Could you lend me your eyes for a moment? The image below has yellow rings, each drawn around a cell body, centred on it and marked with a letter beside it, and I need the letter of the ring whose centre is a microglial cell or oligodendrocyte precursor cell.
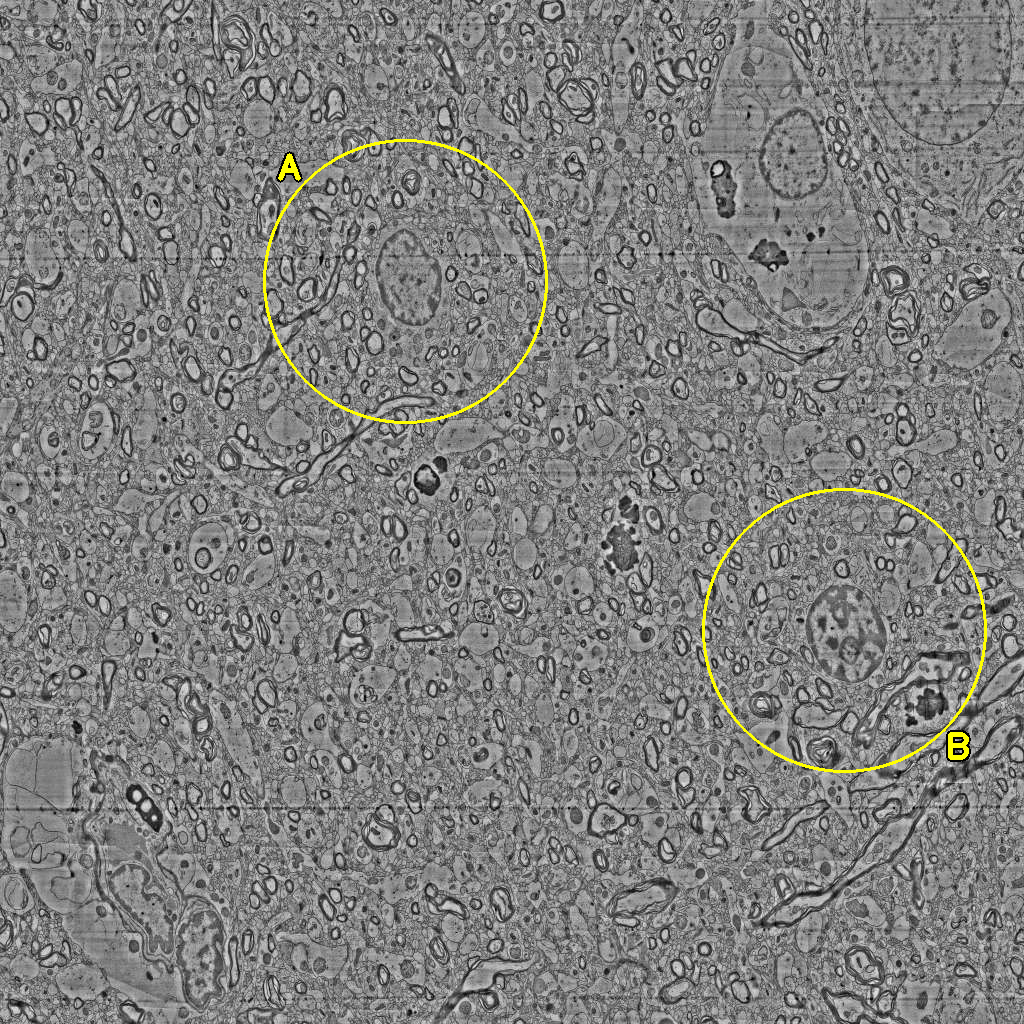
B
